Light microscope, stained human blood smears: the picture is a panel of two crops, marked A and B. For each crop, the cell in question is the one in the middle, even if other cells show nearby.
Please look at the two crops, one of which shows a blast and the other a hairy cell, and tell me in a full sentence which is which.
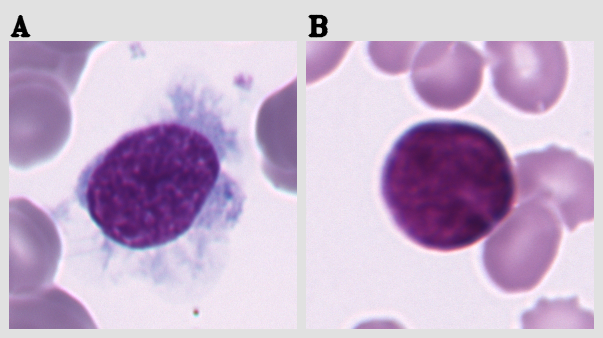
In this set, crop A shows a hairy cell and crop B shows a blast.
